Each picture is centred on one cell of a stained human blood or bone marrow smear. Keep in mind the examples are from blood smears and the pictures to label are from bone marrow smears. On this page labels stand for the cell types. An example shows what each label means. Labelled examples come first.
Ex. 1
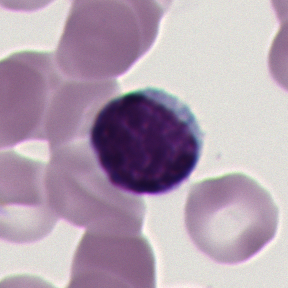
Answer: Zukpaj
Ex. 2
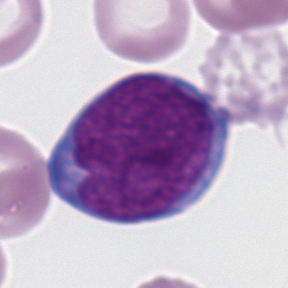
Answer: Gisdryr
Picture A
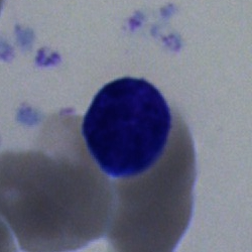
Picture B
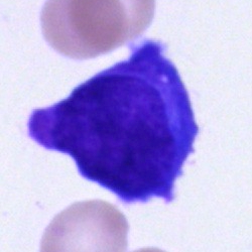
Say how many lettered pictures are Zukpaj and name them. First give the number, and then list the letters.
1, namely A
